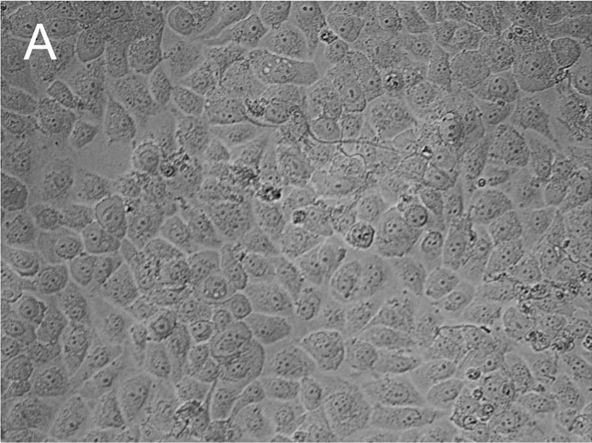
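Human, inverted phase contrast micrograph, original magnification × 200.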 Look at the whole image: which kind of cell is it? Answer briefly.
epithelial cells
